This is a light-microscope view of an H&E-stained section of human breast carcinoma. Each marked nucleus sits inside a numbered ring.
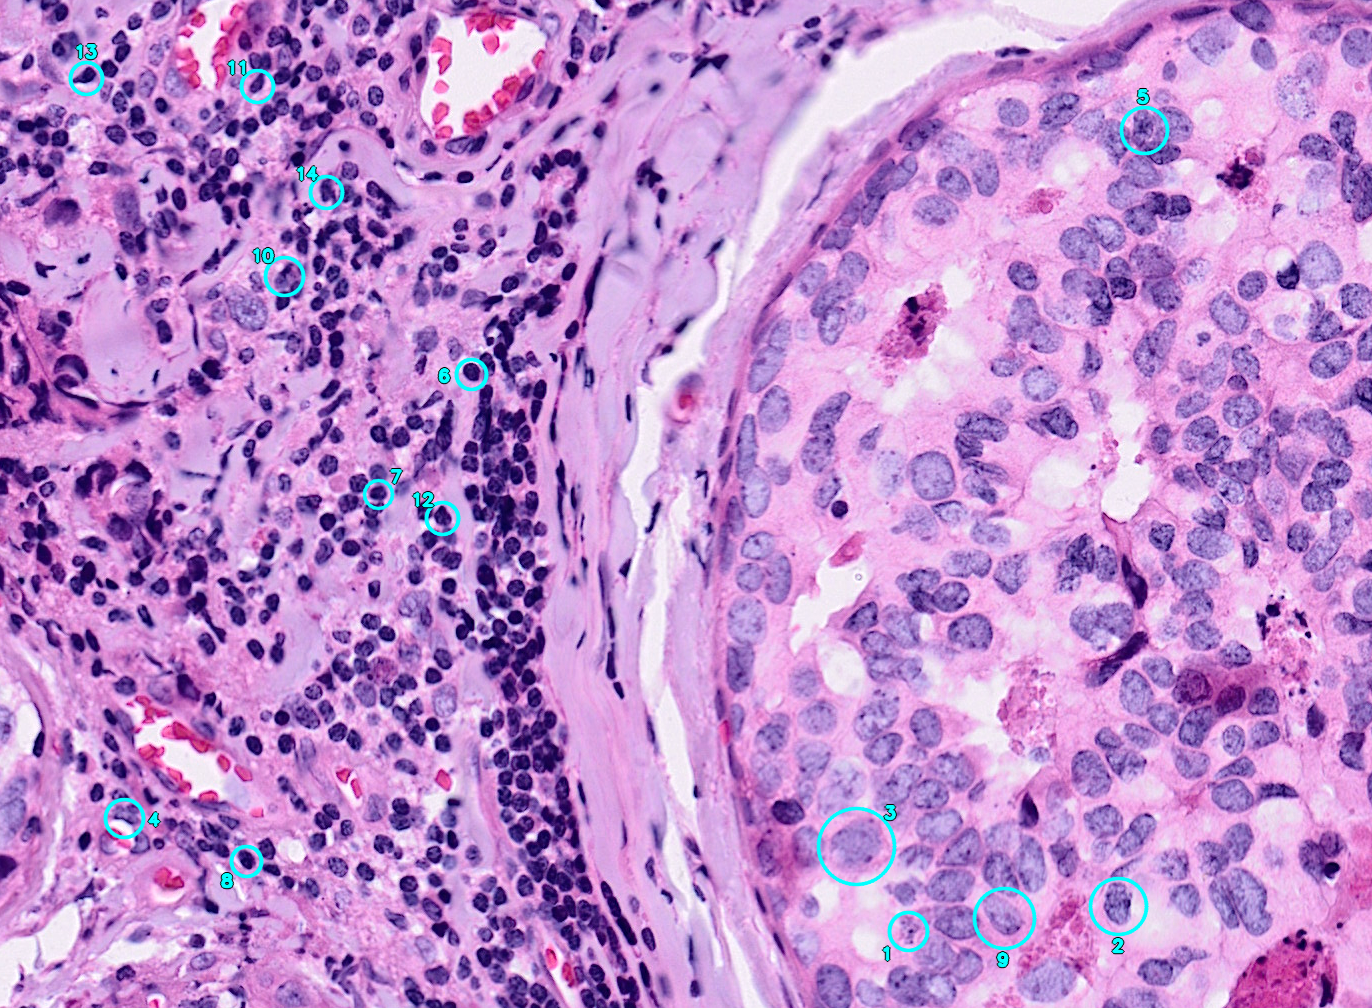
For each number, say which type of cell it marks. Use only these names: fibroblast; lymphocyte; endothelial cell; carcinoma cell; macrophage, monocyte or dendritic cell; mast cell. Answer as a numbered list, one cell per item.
1. carcinoma cell
2. carcinoma cell
3. carcinoma cell
4. endothelial cell
5. carcinoma cell
6. lymphocyte
7. lymphocyte
8. lymphocyte
9. carcinoma cell
10. lymphocyte
11. lymphocyte
12. lymphocyte
13. lymphocyte
14. lymphocyte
